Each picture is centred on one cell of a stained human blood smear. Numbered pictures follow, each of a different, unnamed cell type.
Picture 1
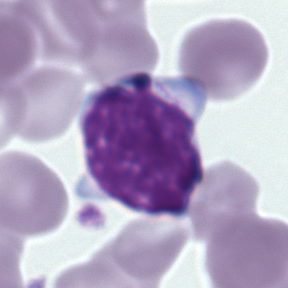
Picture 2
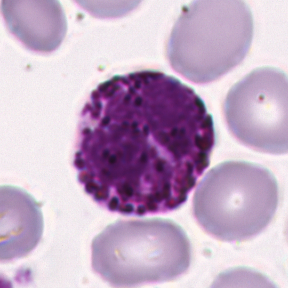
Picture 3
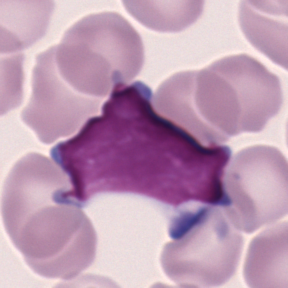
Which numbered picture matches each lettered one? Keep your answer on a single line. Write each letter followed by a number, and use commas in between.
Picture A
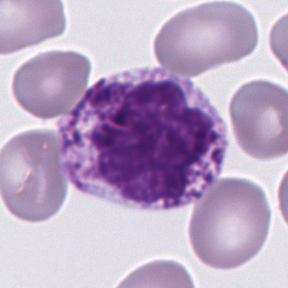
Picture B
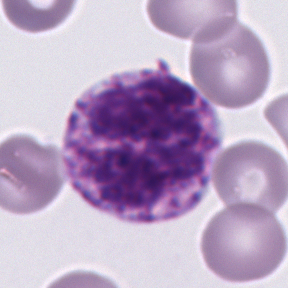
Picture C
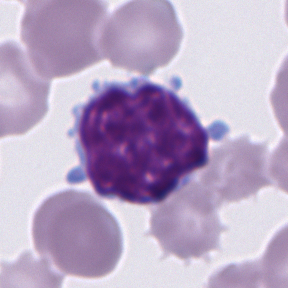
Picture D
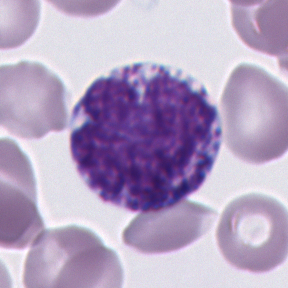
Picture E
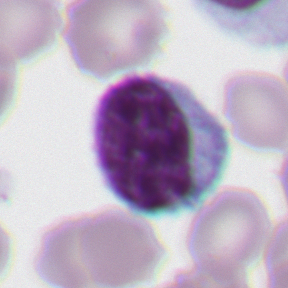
A 2, B 2, C 3, D 2, E 3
